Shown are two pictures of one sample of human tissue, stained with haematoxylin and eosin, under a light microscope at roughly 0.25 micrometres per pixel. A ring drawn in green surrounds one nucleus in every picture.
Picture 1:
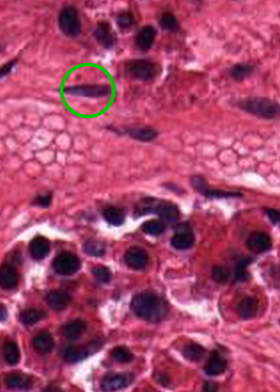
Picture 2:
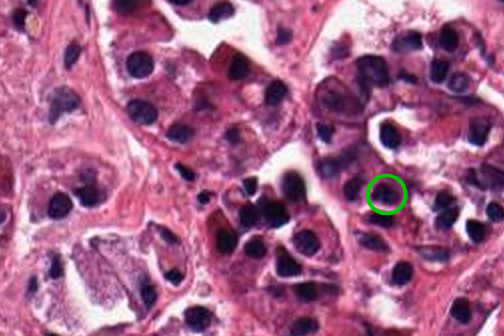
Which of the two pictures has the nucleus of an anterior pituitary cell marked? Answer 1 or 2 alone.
2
